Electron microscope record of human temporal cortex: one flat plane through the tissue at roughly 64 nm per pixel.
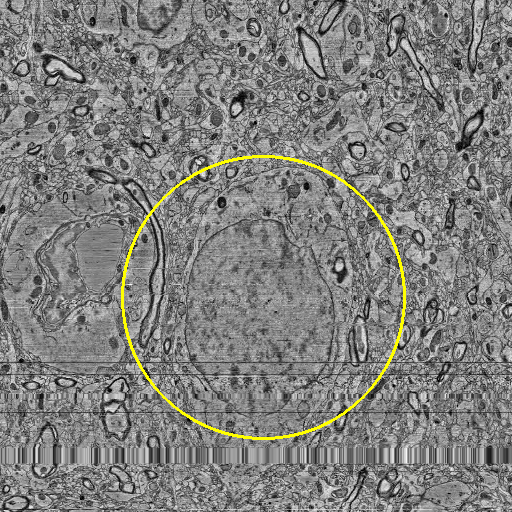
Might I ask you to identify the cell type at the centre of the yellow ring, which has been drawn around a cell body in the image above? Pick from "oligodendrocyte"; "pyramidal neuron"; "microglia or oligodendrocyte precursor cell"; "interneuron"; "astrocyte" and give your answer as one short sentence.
The centre of the ring falls on a pyramidal neuron.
